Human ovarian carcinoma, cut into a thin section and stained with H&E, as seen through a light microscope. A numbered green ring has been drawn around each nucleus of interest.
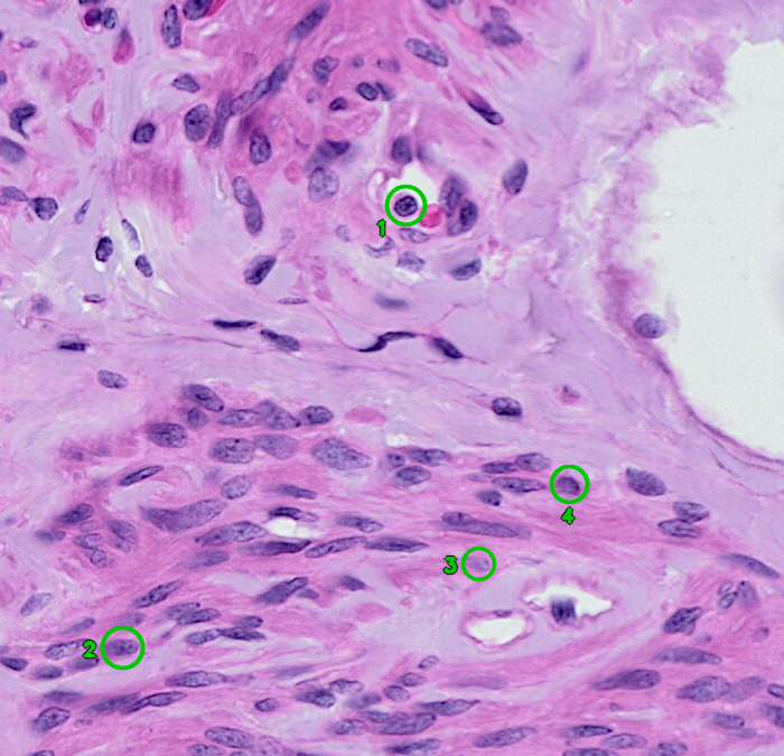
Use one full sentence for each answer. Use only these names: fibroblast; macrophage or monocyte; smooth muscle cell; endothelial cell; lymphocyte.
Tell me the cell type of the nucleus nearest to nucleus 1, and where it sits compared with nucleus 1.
An endothelial cell lies closest, below nucleus 1.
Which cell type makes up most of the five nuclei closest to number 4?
Most of the five nuclei nearest to number 4 are those of smooth muscle cells.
